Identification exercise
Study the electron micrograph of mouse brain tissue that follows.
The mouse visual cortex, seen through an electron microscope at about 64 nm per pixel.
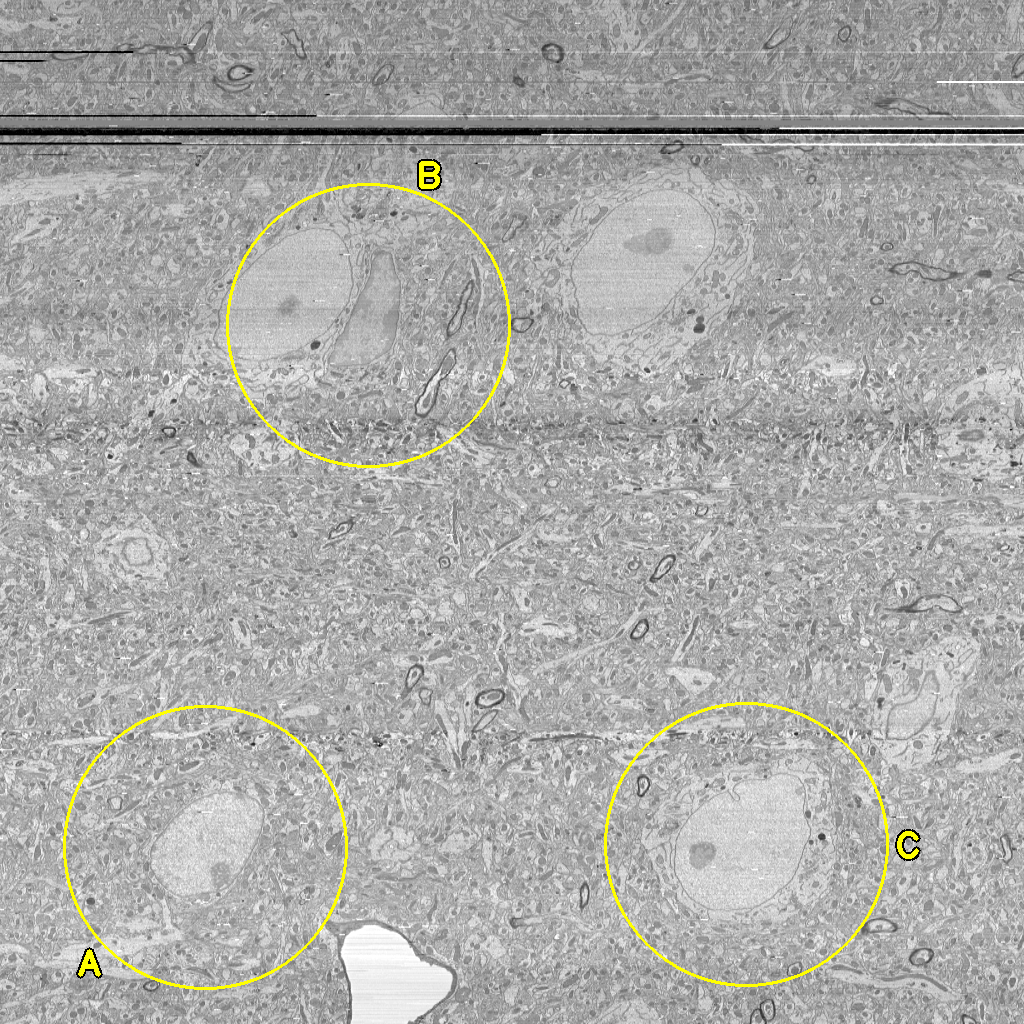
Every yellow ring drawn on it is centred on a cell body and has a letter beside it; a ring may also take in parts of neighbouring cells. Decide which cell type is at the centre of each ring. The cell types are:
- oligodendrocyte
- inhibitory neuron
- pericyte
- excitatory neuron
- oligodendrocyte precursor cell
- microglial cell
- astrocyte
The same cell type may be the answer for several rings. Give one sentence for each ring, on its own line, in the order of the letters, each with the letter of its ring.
Ring A encircles an astrocyte.
Ring B encircles a microglial cell.
Ring C encircles an excitatory neuron.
